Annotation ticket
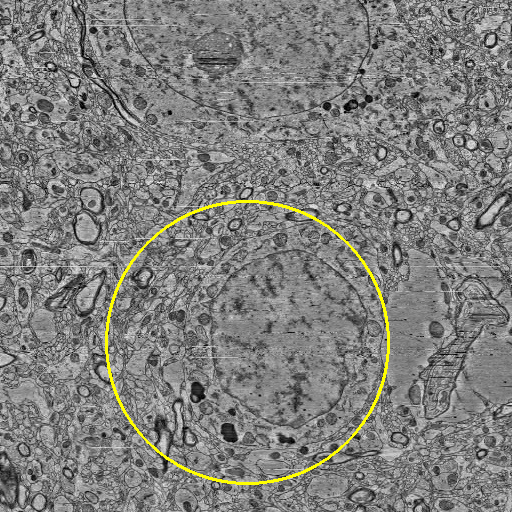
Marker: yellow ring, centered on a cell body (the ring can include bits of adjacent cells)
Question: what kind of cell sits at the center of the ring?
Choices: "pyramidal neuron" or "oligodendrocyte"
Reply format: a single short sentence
The ring is centered on a pyramidal neuron.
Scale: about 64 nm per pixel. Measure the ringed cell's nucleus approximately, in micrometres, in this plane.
About 11 micrometers across, in this plane.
